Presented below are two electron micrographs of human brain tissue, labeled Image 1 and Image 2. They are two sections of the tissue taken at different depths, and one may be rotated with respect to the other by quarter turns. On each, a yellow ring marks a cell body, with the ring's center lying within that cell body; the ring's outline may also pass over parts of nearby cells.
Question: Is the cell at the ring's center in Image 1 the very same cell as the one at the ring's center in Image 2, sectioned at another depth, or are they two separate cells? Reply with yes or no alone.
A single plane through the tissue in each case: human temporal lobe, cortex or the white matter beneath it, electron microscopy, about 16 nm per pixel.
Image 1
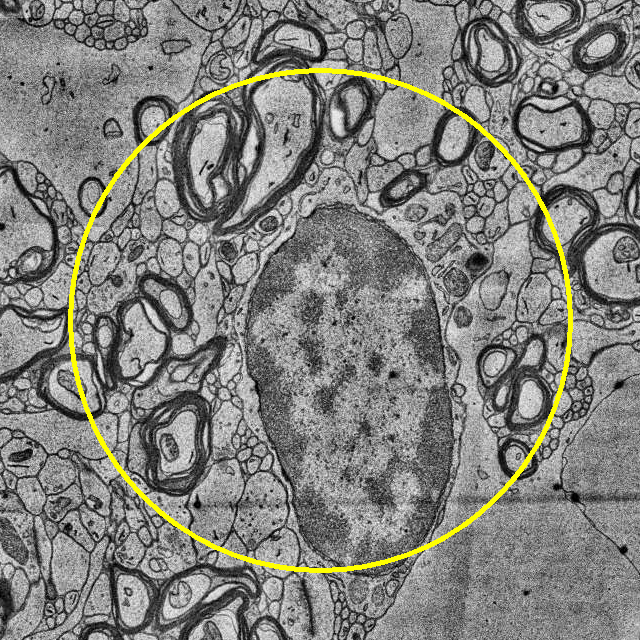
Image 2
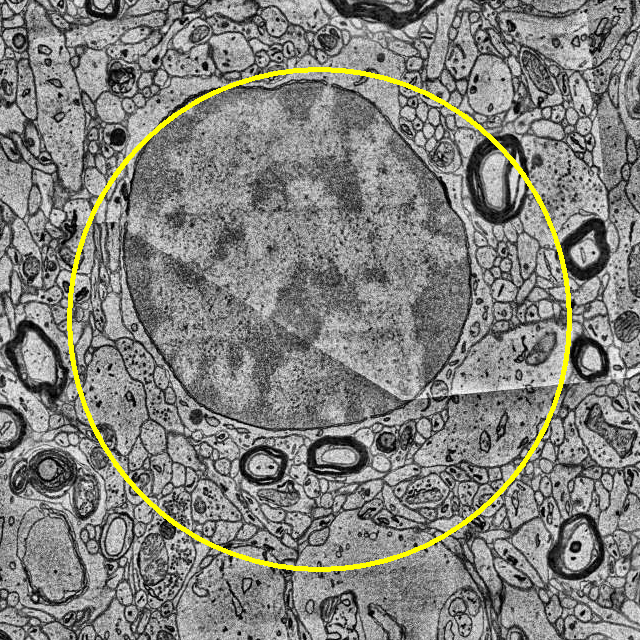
no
